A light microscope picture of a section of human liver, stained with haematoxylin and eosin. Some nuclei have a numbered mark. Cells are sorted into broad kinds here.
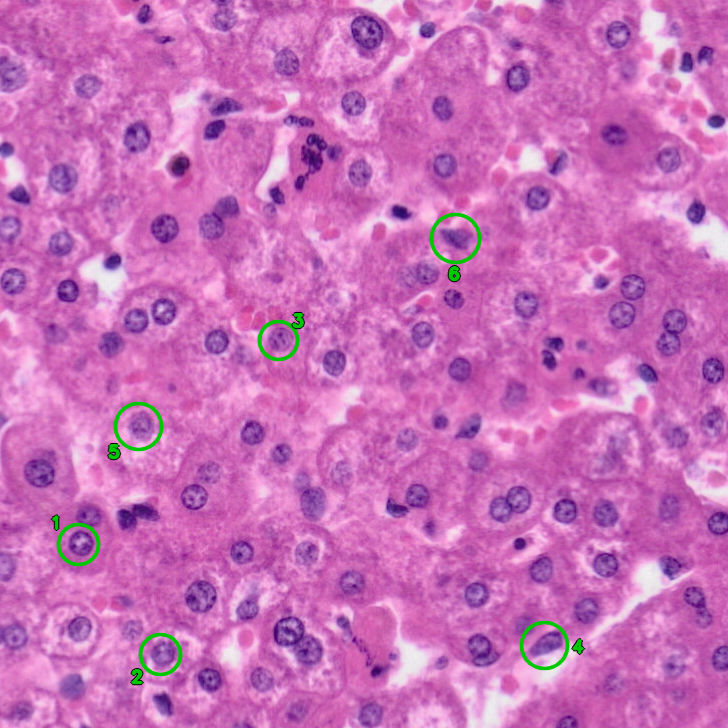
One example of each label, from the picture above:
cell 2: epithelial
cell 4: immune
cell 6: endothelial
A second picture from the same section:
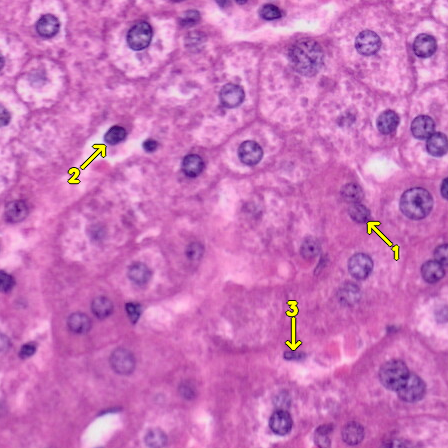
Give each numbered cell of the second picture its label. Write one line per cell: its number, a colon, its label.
1: epithelial
2: immune
3: endothelial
